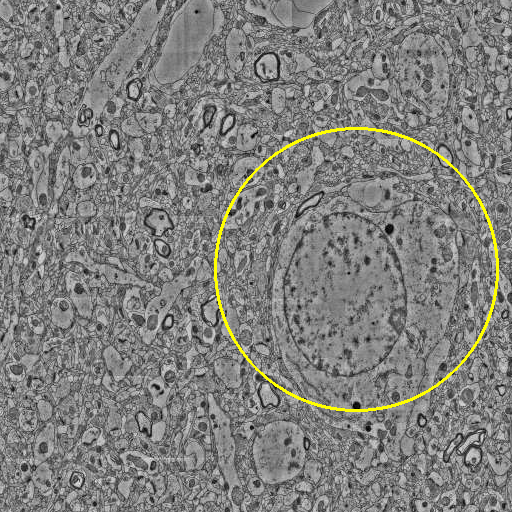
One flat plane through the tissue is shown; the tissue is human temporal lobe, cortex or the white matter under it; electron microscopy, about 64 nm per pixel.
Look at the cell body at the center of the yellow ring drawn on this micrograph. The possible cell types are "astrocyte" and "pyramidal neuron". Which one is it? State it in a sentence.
The cell in the middle of the ring is a pyramidal neuron.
